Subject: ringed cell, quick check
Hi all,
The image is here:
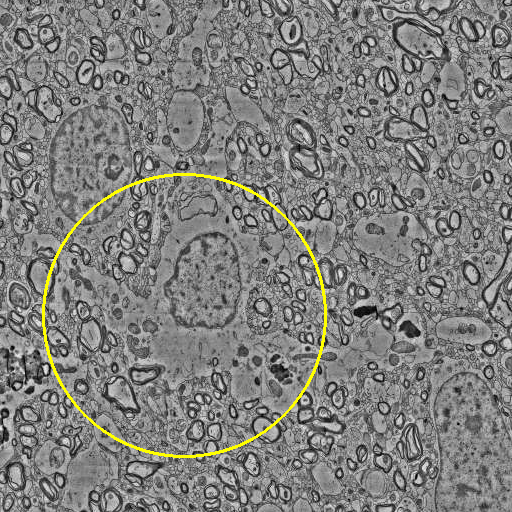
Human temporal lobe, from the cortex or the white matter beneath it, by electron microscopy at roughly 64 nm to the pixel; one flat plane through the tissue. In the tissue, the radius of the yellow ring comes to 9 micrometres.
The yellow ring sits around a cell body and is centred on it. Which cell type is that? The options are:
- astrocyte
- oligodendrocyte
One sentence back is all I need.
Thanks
That ringed cell is an astrocyte.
